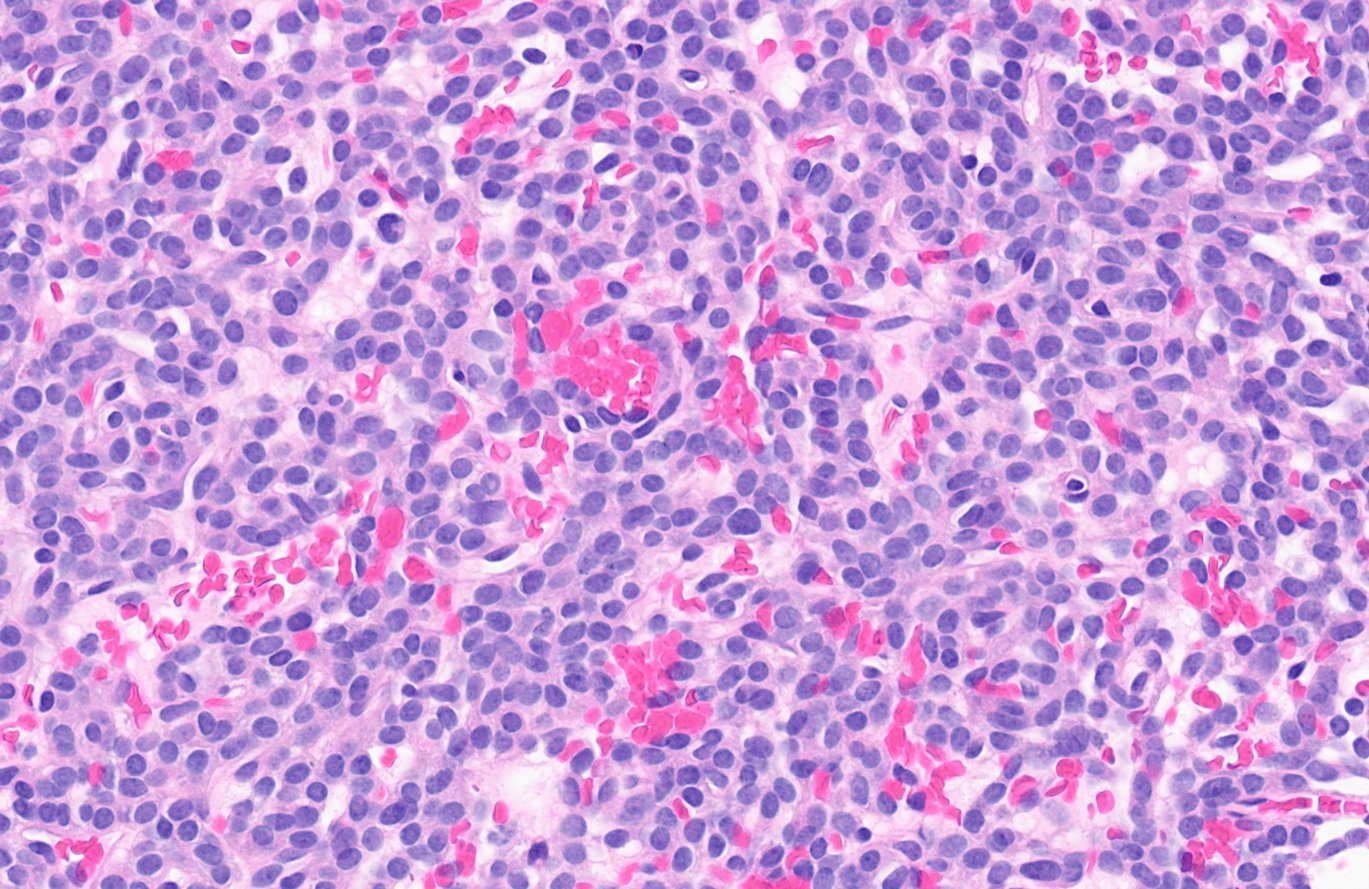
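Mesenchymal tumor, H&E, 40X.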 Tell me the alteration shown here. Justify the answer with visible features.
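Nuclei are round to oval and similar in size and shape. There is little variation between cells.
Hence: relatively monomorphic round to ovoid cells.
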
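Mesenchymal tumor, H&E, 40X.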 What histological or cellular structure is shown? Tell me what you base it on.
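Tumor cells lie in small clusters. Thin channels containing red blood cells separate the clusters.
Hence: nested arrangement.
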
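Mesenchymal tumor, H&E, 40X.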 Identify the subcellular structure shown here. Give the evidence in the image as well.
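Eosinophilic cytoplasm. Pale pink cytoplasm surrounds each nucleus. Cell borders are indistinct.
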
